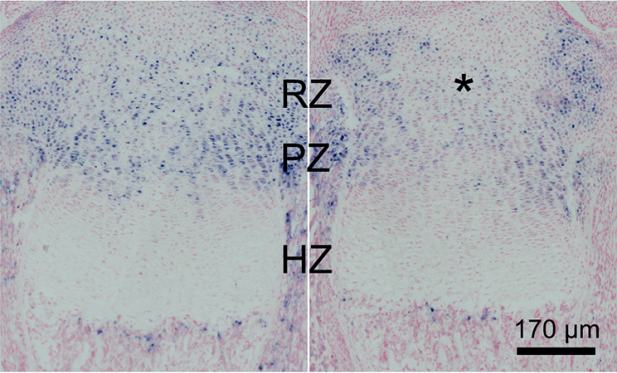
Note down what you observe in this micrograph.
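Growth plate cartilage of a long bone end is shown on two sides side by side. Small round chondrocytes fill the upper part, followed by flattened cells in columns and, below, a pale band of large swollen cells. Dark blue-purple dots mark many cells in the upper and middle cartilage and along the edges at the sides, while the band of enlarged cells is largely unstained. On the right-hand image the dotted cells are sparser in the middle of the upper cartilage than on the left-hand image.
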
